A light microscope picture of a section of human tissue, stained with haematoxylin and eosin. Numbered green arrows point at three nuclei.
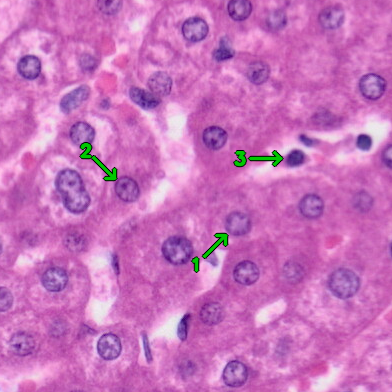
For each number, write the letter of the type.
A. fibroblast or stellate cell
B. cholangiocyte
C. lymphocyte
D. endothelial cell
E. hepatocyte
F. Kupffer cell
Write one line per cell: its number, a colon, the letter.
1: E
2: E
3: C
